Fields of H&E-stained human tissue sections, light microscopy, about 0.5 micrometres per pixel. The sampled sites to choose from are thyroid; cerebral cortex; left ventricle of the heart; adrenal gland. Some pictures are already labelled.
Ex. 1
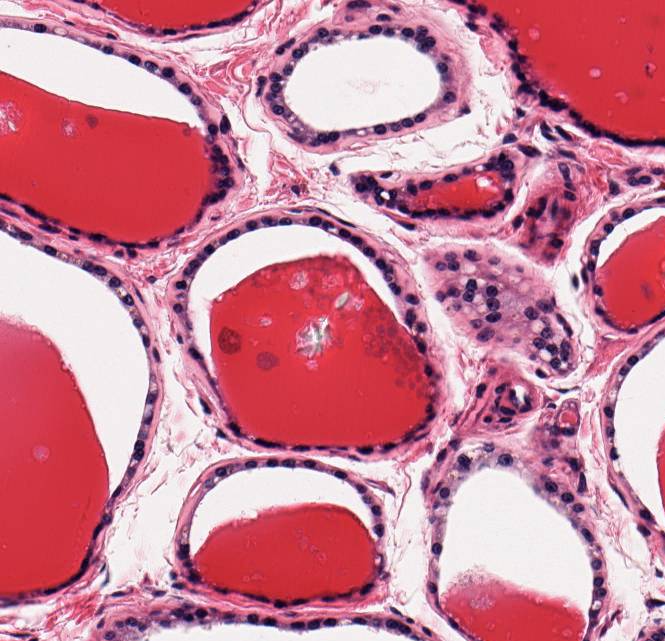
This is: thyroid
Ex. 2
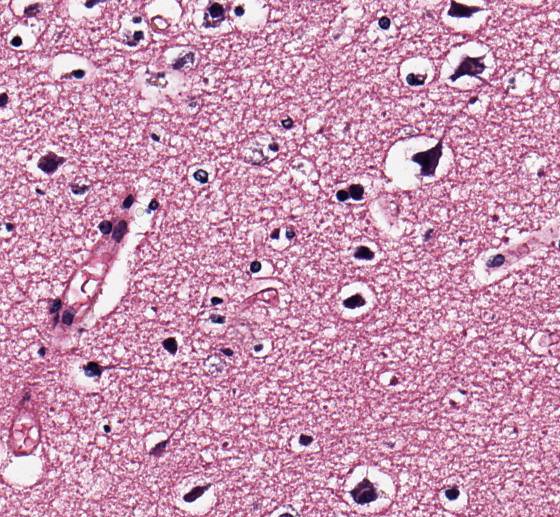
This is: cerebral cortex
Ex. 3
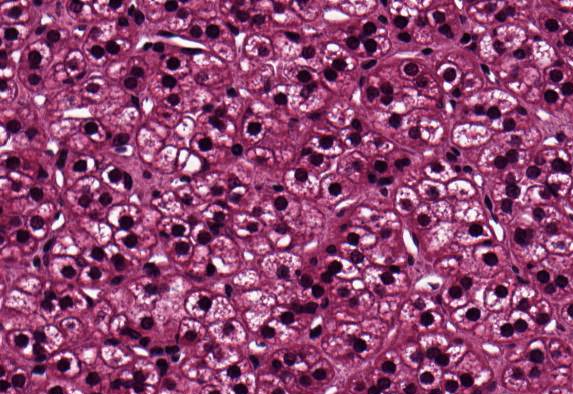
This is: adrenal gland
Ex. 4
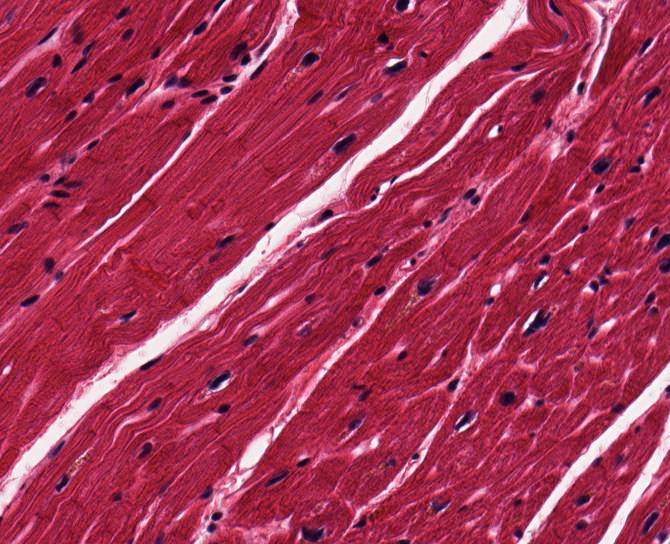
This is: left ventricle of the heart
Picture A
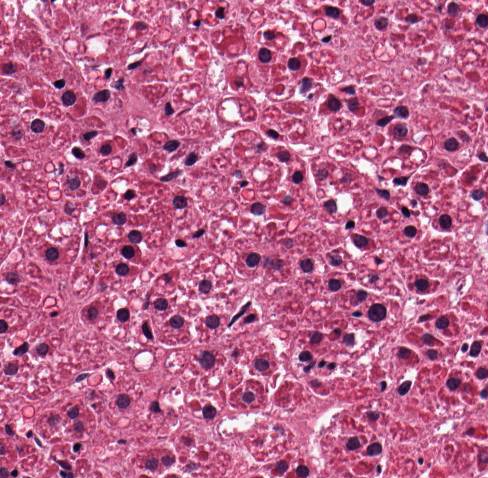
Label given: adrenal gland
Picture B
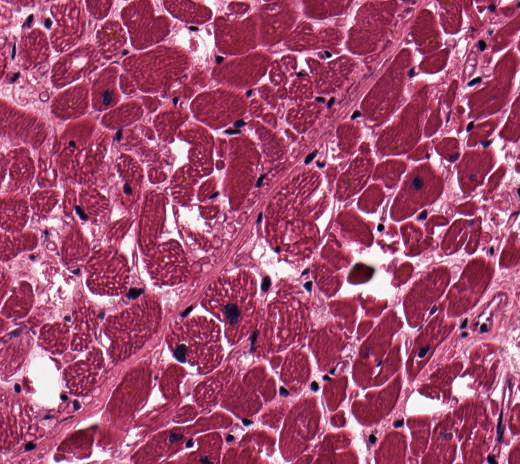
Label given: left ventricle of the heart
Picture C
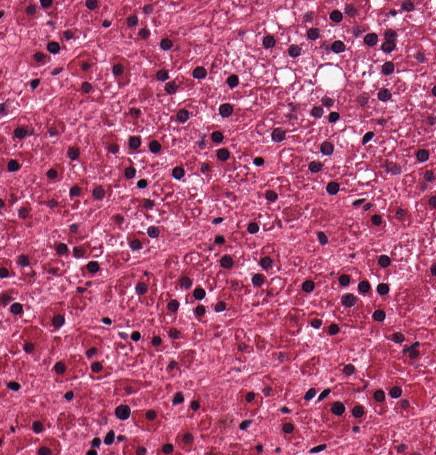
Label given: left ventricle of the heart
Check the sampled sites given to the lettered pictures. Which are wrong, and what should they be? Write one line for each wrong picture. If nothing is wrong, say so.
C is labelled left ventricle of the heart; correct label: adrenal gland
